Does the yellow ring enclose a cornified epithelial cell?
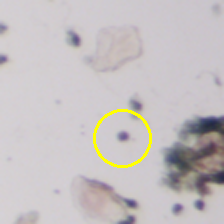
No. The ring encloses a leukocyte.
